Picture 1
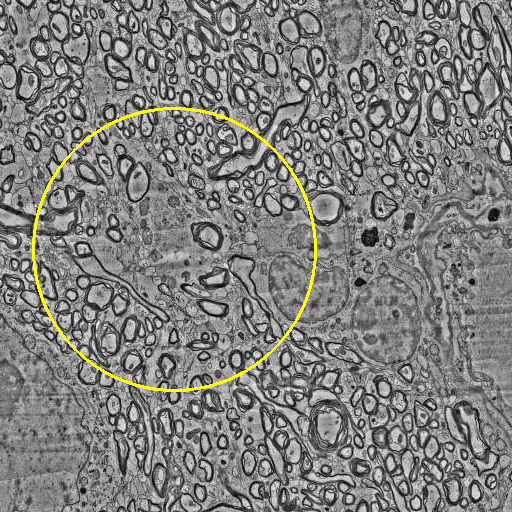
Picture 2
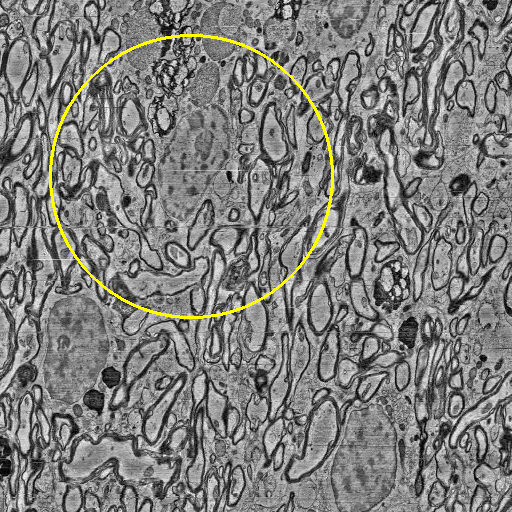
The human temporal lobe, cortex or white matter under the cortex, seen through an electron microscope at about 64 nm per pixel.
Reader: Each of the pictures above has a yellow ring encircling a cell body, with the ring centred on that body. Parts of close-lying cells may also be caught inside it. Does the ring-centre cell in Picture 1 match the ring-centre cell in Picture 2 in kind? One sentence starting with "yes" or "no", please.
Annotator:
No, Picture 1 and Picture 2 show ring-centre cells of two kinds.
